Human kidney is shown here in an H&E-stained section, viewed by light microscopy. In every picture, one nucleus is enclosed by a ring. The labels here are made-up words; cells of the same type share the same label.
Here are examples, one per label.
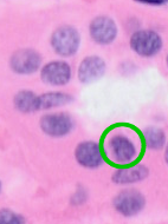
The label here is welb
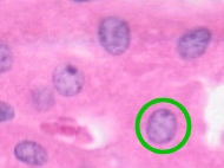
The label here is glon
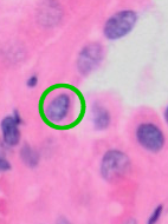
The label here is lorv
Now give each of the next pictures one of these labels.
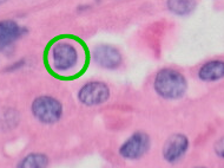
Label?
lorv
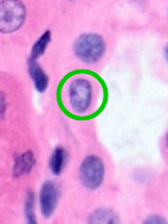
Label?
lorv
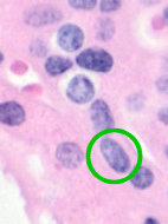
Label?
welb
